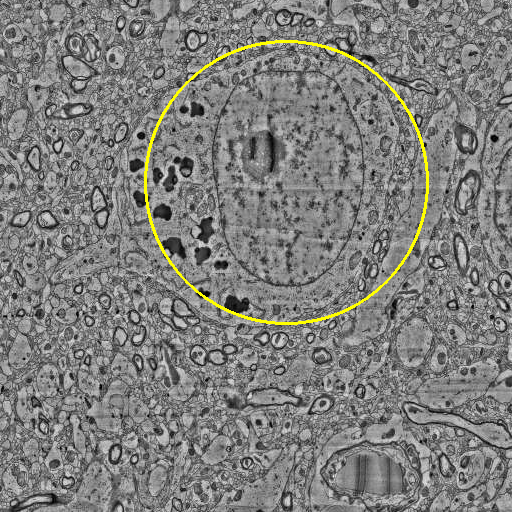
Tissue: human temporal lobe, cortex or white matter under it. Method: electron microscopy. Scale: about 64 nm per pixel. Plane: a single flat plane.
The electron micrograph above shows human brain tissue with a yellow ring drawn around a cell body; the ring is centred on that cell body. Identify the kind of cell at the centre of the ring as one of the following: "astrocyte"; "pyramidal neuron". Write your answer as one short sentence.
The cell at the centre of the ring is a pyramidal neuron.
